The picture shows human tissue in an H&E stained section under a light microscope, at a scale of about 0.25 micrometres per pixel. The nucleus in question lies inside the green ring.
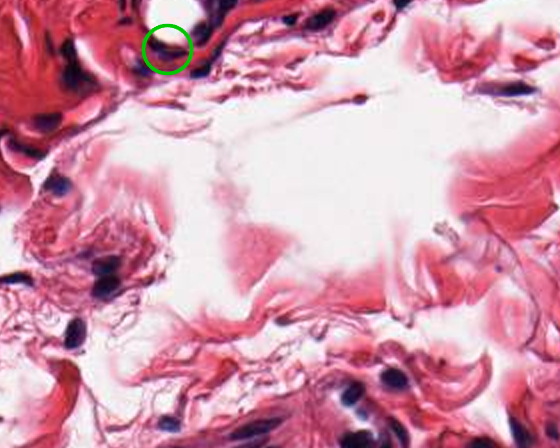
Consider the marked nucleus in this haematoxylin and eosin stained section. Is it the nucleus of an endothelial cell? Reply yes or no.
yes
